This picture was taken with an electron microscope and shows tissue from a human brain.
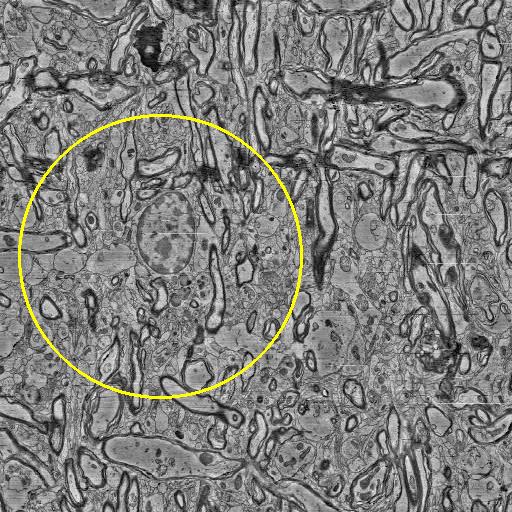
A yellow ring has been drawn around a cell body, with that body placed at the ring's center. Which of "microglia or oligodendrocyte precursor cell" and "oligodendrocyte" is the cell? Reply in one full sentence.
In this picture, a microglial cell or oligodendrocyte precursor cell is the cell at the center of the yellow ring.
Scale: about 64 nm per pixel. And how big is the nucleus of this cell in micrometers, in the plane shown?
In this plane, the nucleus of the cell at the centre of the ring measures about 6 by 4 micrometres.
